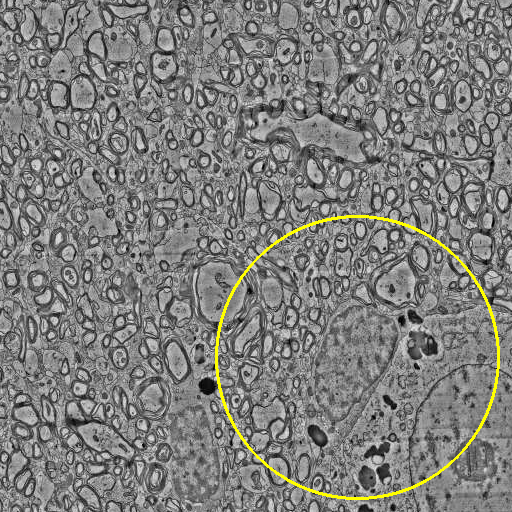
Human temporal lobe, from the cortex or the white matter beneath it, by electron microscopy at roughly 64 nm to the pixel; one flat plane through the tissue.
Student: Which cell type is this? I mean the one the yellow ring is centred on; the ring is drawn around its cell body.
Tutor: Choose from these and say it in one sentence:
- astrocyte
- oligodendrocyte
The cell the ring is centred on is an oligodendrocyte.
